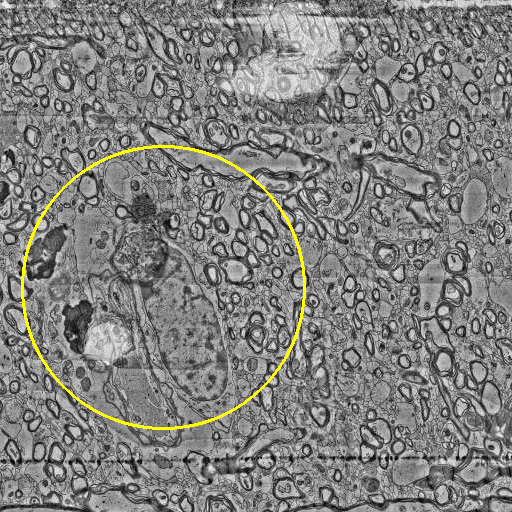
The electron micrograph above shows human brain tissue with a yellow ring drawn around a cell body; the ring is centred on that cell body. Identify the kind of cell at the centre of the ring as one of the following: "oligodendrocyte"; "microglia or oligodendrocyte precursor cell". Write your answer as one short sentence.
The cell at the centre of the ring is a microglial cell or oligodendrocyte precursor cell.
